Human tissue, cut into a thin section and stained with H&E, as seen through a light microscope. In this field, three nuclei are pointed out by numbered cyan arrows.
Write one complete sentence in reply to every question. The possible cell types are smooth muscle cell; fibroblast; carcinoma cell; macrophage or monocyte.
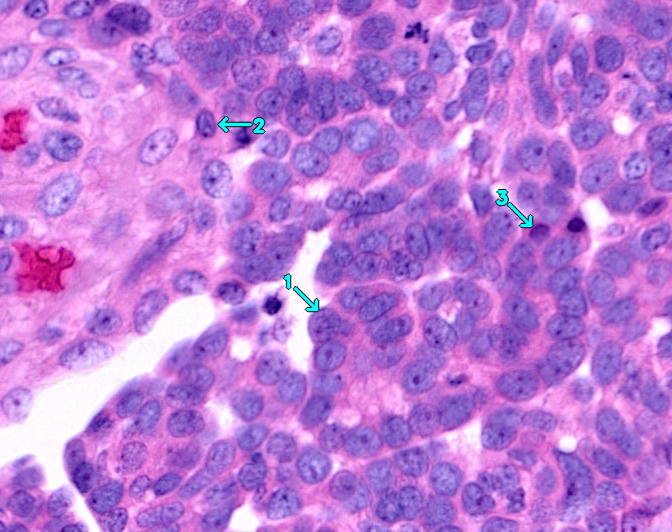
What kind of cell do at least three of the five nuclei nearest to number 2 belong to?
The majority of the five nuclei closest to number 2 belong to carcinoma cells.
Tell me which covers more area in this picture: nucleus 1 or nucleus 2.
Nucleus 1 is larger, with an area about 2 times that of nucleus 2.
